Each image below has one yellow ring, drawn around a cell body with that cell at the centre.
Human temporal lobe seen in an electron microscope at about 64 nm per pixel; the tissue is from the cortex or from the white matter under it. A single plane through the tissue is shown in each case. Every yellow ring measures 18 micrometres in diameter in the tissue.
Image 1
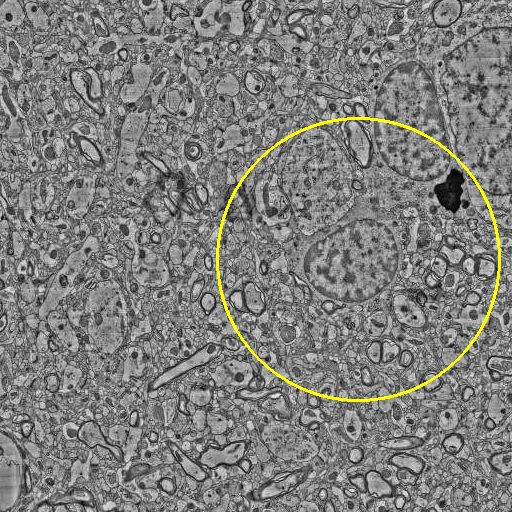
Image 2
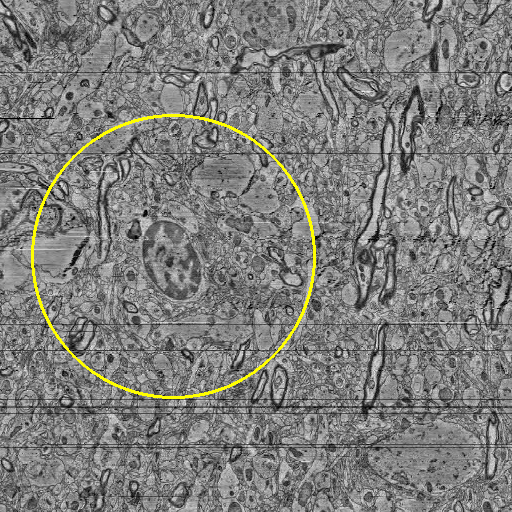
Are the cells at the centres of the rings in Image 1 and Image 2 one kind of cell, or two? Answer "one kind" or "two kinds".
two kinds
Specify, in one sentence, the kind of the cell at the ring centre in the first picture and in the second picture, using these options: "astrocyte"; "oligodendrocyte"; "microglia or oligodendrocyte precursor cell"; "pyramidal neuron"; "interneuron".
So the first is an oligodendrocyte, the second a microglial cell or oligodendrocyte precursor cell.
